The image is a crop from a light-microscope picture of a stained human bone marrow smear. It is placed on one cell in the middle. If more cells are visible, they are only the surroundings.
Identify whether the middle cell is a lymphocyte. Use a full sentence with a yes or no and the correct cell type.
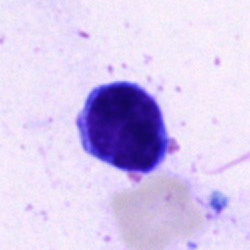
Yes, the cell lying in the centre of the crop is identified as a lymphocyte.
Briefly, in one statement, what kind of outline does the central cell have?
As for its outline, the cell is irregular, ragged or drawn into projections.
